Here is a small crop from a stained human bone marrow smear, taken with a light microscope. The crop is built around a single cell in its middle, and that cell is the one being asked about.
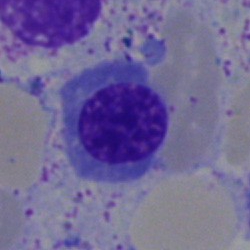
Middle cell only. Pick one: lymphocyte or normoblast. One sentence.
Of the cells in this crop, the central one is a normoblast.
